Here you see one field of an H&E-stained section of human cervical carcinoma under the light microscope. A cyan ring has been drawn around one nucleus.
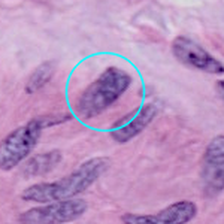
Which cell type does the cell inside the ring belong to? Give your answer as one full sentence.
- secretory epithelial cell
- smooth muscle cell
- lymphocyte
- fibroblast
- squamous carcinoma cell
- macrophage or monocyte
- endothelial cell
Among the cells in this section, the cell inside the ring is a smooth muscle cell.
